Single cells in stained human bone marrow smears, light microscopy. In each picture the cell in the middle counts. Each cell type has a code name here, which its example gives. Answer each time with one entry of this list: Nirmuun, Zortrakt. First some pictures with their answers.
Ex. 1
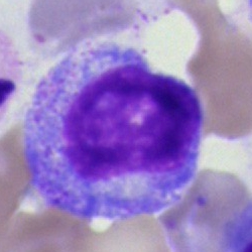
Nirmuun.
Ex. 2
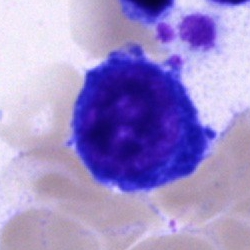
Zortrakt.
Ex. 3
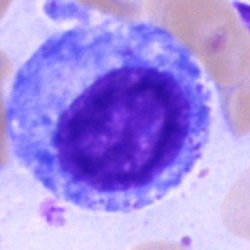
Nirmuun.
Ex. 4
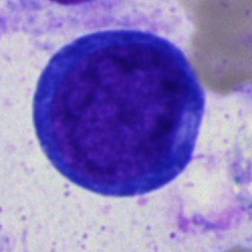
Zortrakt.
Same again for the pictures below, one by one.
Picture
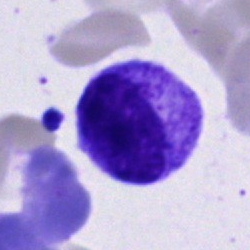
Nirmuun.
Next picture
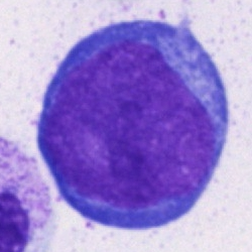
Zortrakt.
